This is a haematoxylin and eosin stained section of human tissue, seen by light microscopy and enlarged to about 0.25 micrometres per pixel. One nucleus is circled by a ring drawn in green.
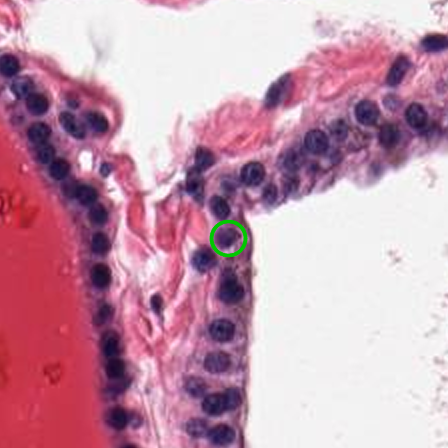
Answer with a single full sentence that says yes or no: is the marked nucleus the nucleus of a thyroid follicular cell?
Yes, the marked nucleus is the nucleus of a thyroid follicular cell.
